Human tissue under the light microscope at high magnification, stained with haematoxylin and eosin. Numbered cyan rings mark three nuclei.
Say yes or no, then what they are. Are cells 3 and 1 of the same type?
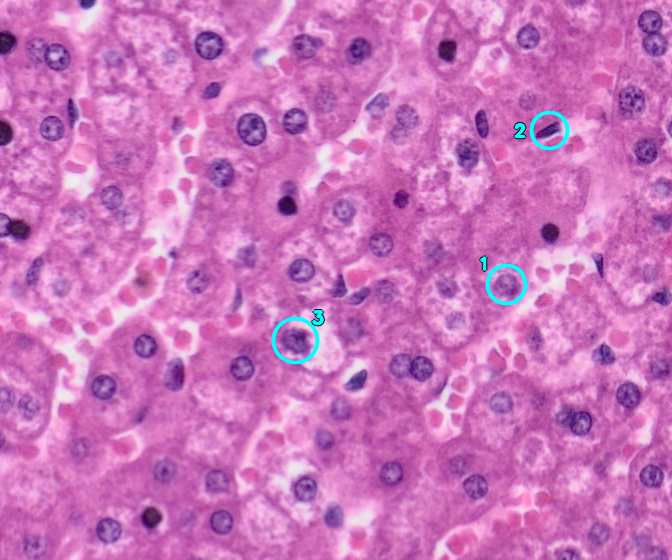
Yes, note that cells 3 and 1 are both hepatocytes.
